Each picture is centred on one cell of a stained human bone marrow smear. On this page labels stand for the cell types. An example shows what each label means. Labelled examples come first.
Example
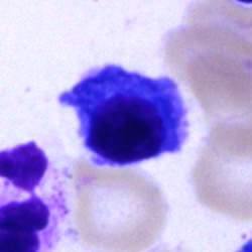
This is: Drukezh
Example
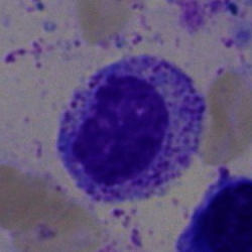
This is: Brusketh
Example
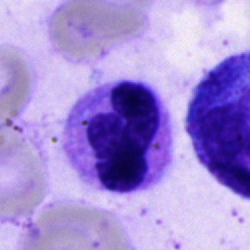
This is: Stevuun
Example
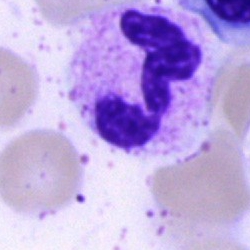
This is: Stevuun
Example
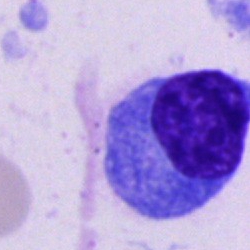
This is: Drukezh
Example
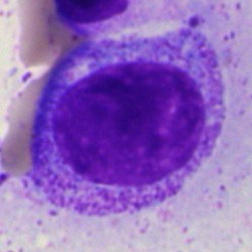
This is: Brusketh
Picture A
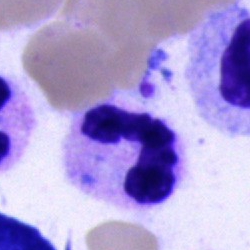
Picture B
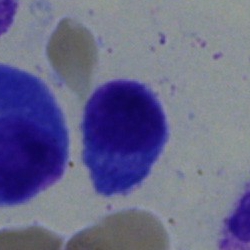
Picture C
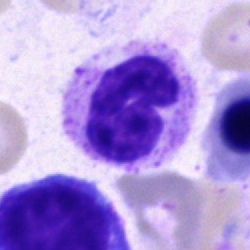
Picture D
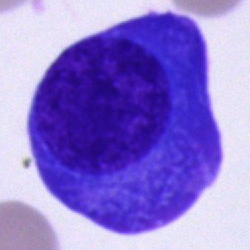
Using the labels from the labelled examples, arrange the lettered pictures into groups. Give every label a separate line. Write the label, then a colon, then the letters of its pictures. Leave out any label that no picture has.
Drukezh: B, D
Stevuun: A, C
